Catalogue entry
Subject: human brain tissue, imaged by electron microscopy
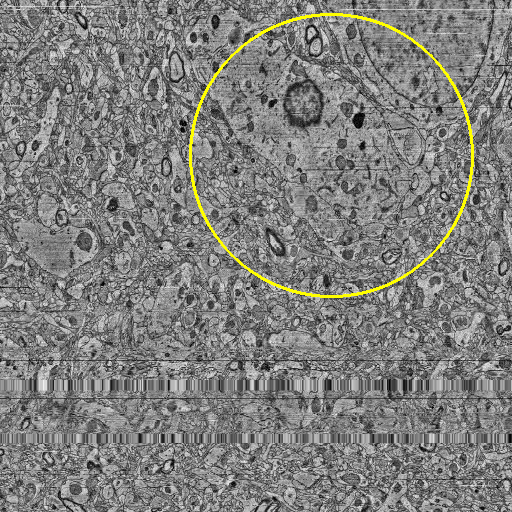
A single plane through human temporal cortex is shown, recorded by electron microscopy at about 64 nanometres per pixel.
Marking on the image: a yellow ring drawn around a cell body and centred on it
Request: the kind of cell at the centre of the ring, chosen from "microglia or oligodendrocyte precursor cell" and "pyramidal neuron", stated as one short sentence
The ring has a pyramidal neuron at its centre.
